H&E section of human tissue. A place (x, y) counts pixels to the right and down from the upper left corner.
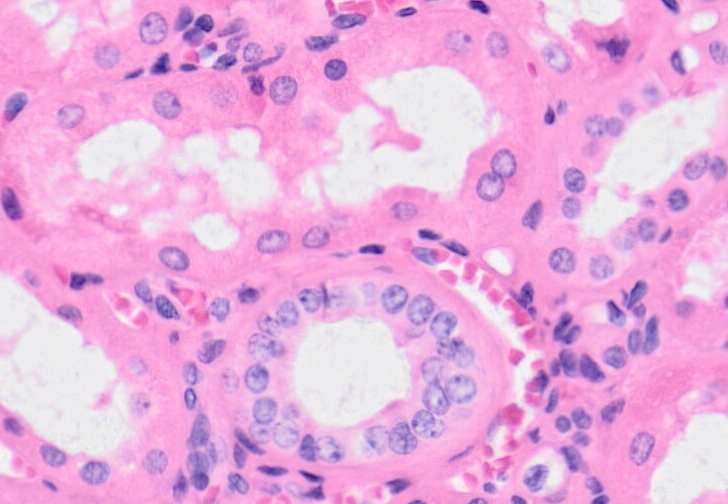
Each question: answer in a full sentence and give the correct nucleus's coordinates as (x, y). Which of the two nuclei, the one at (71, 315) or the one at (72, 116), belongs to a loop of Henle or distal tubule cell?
Housed in a loop of Henle or distal tubule cell is the nucleus at (71, 315), not the other one.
